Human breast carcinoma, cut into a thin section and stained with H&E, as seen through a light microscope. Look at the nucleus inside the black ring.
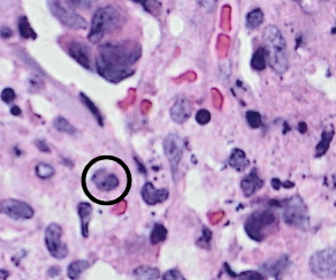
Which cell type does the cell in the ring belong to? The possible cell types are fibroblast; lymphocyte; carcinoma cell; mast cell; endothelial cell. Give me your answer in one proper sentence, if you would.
Just put down that the cell in the ring is a mast cell.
